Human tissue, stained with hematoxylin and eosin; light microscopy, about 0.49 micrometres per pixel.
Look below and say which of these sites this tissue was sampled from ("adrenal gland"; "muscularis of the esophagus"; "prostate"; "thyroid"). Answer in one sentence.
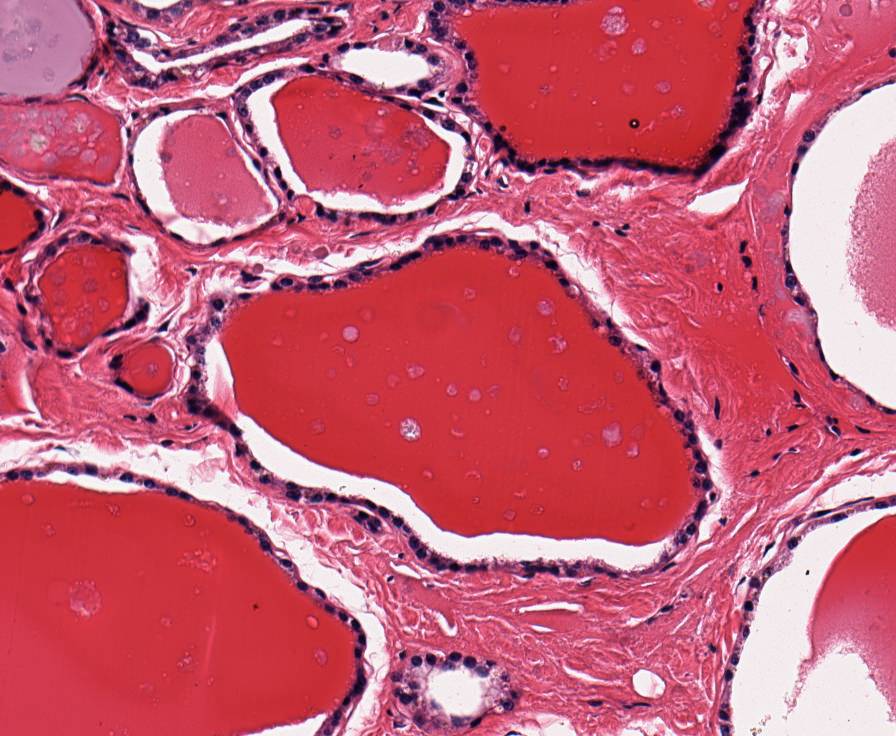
The site this tissue was sampled from is the thyroid.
